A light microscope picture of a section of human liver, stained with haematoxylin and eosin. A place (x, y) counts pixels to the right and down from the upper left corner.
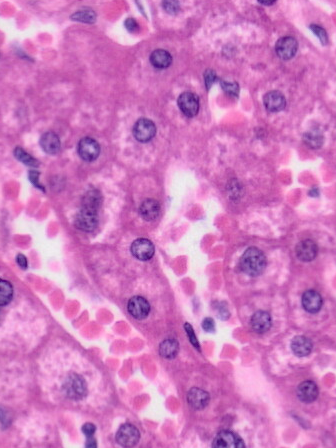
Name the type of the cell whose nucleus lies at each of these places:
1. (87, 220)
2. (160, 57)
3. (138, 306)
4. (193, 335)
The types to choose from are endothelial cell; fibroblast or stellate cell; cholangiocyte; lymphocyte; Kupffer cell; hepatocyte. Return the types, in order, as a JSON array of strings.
["hepatocyte", "hepatocyte", "hepatocyte", "fibroblast or stellate cell"]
